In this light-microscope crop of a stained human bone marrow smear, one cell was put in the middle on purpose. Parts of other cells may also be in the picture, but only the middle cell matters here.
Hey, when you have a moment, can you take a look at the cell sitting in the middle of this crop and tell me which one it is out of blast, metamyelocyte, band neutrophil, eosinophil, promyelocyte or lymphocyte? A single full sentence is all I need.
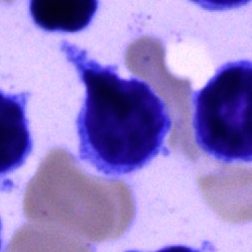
The cell at the central position in this crop is a lymphocyte.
